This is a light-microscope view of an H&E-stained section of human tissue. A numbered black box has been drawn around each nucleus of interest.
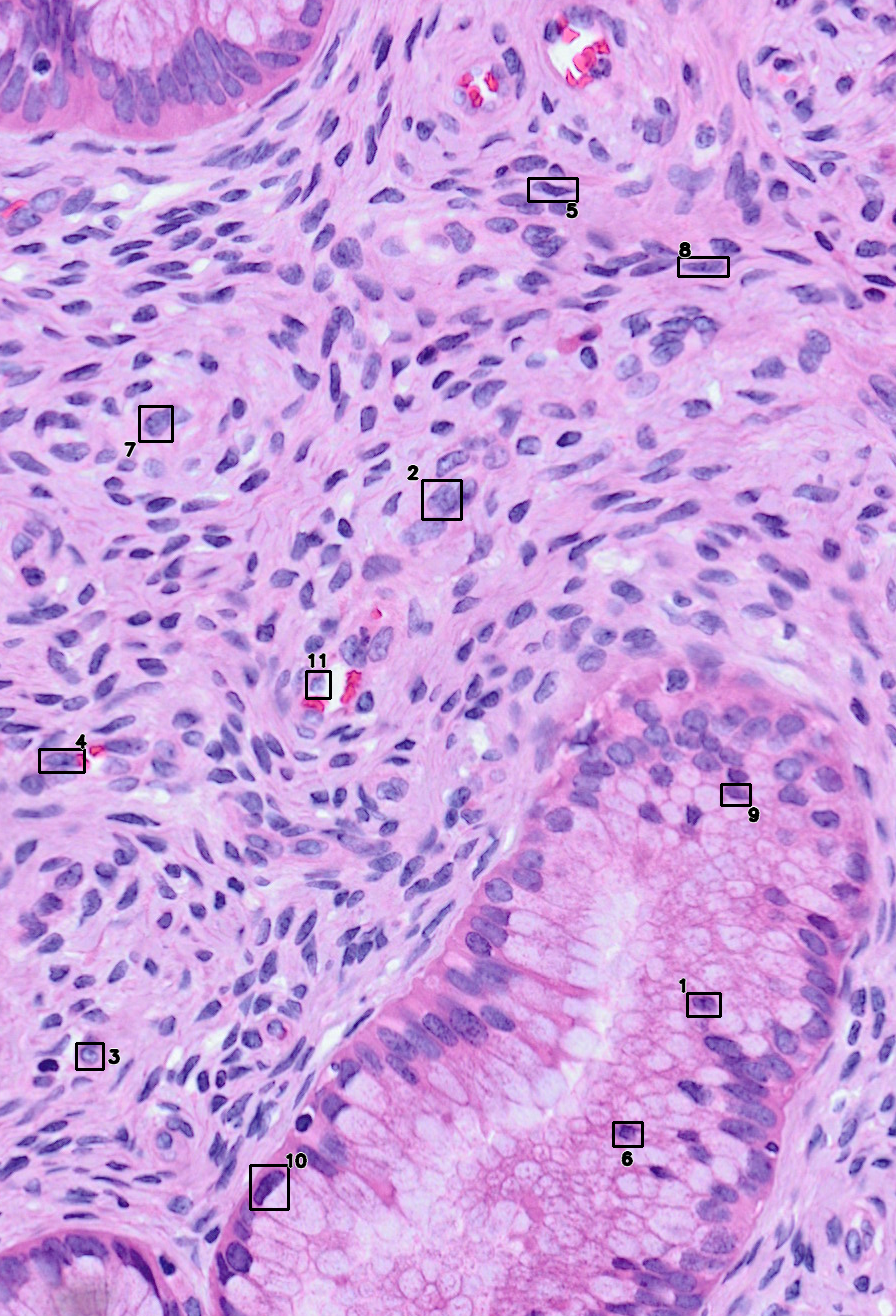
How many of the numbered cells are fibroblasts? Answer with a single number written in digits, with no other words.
2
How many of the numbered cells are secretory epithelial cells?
4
